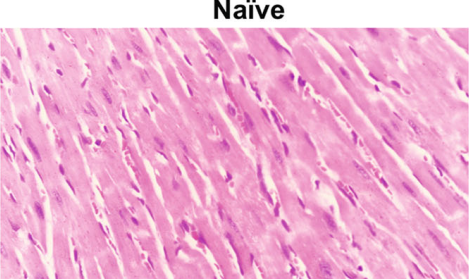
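This is heart muscle with cardiac muscle fibres cut along their length. The fibres are evenly pink, run in parallel diagonal rows and branch slightly, with thin pale clefts between them. Each fibre carries oval, pale-staining nuclei set in its centre, and flatter dark nuclei lie in the spaces between fibres. No clusters of small round cells disturb the orderly arrangement.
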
